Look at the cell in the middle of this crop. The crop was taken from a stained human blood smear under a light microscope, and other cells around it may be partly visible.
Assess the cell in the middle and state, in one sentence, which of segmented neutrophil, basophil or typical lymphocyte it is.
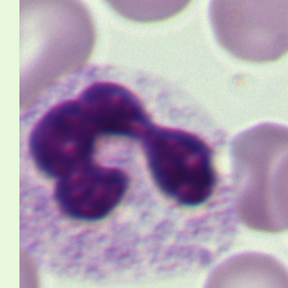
The cell found in the middle of this crop is a segmented neutrophil.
